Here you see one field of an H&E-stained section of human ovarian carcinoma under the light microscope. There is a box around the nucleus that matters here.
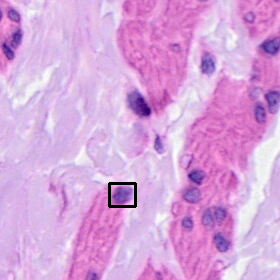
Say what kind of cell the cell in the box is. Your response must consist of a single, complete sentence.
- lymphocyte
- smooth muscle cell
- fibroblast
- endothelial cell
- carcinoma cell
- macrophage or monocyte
Cytologically, the cell in the box is to be regarded as a smooth muscle cell.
